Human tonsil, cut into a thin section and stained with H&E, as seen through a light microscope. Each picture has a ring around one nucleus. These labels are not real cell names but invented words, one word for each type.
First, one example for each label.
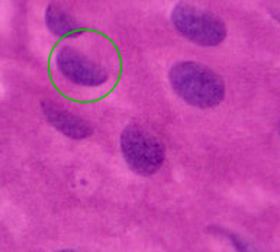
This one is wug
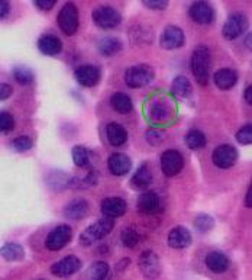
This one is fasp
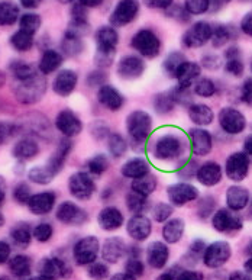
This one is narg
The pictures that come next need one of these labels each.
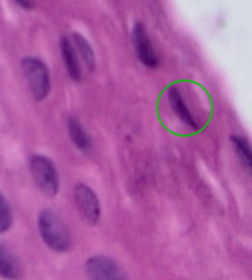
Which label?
wug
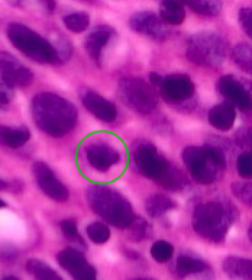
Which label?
wug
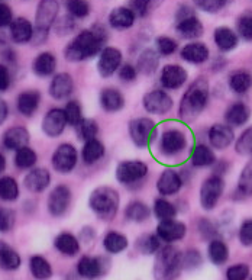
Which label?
narg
